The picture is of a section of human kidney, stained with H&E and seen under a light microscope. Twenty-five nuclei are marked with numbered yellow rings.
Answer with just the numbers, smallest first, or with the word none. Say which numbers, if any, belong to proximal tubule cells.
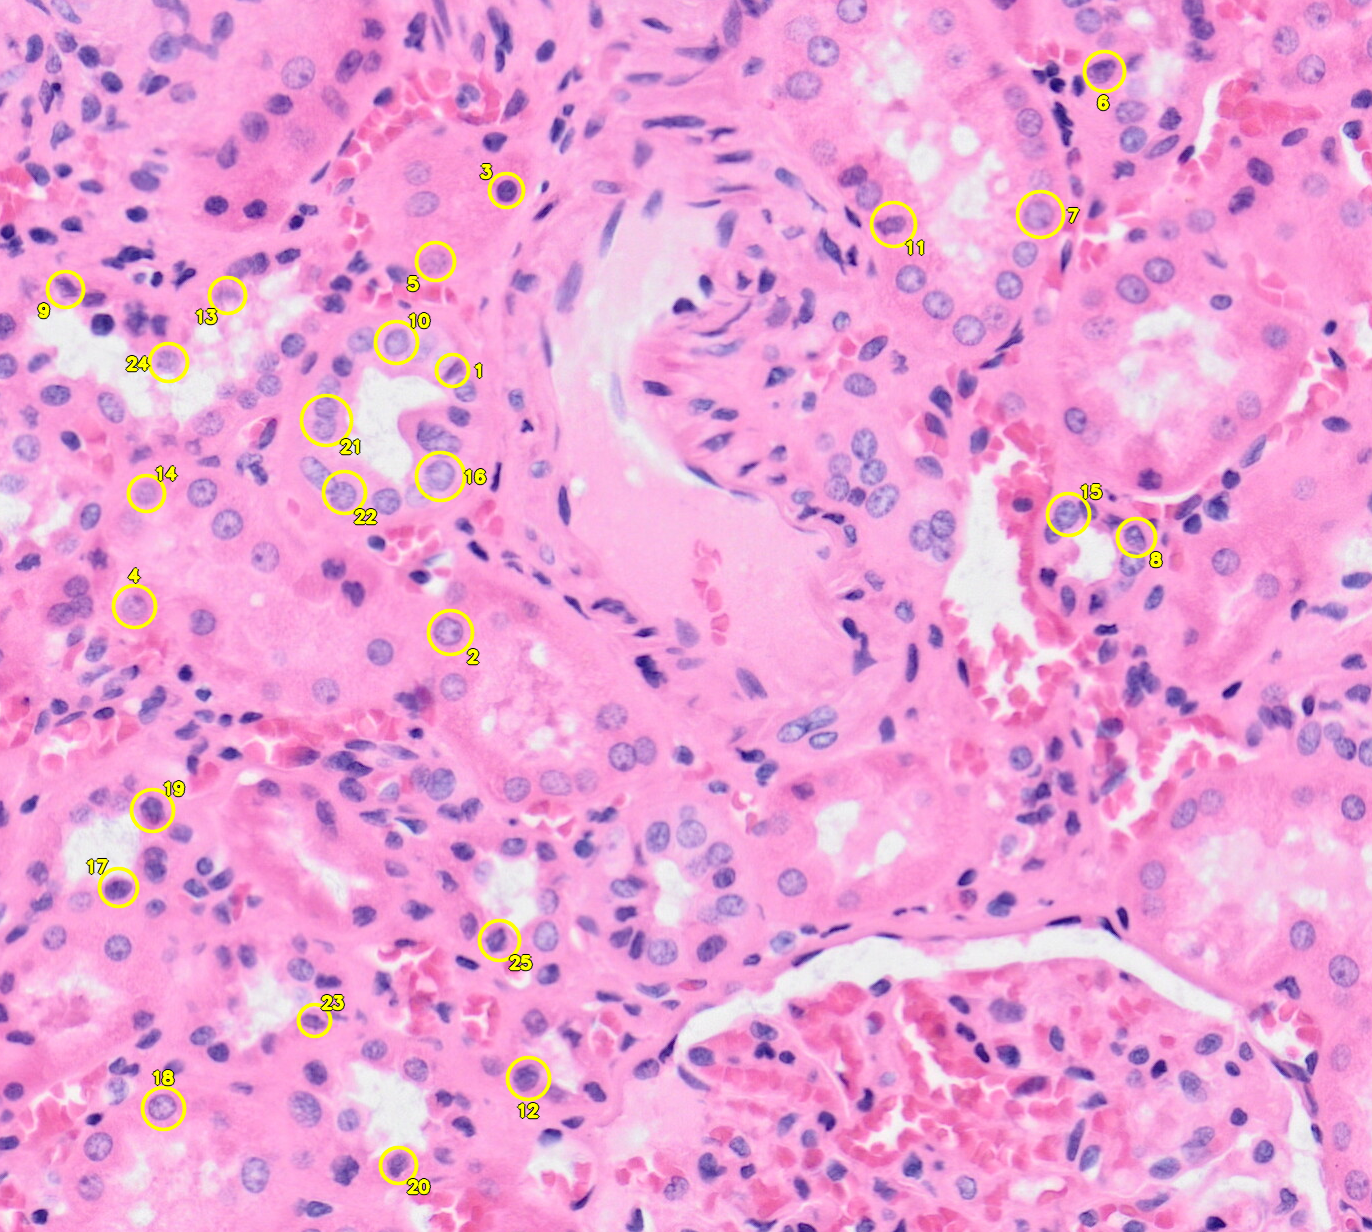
2, 3, 4, 5, 7, 11, 14, 18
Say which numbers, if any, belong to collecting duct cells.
1, 6, 8, 10, 15, 16, 21, 22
